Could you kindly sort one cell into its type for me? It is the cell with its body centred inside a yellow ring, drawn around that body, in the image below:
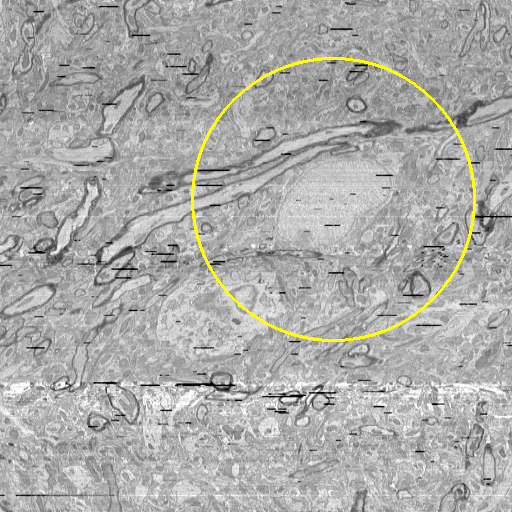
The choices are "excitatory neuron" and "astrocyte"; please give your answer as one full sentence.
The cell whose body lies centred in the yellow ring here is an astrocyte.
